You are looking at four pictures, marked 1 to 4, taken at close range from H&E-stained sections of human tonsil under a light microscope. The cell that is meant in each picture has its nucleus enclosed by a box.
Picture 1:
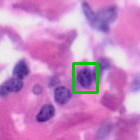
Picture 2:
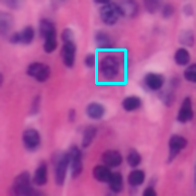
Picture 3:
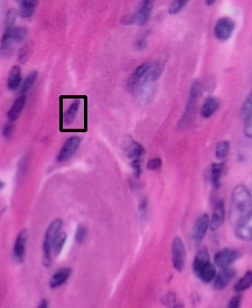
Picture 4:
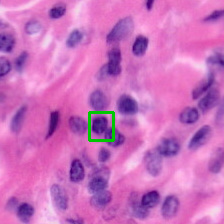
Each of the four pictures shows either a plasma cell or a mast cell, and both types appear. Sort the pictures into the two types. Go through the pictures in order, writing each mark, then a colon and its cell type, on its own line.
1: plasma cell
2: plasma cell
3: mast cell
4: plasma cell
